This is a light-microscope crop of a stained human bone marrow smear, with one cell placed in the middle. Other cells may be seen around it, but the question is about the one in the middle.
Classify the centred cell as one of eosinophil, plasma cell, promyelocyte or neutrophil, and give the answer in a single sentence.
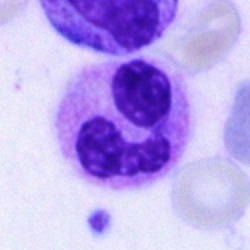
In the central position of this crop, the cell is a neutrophil.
